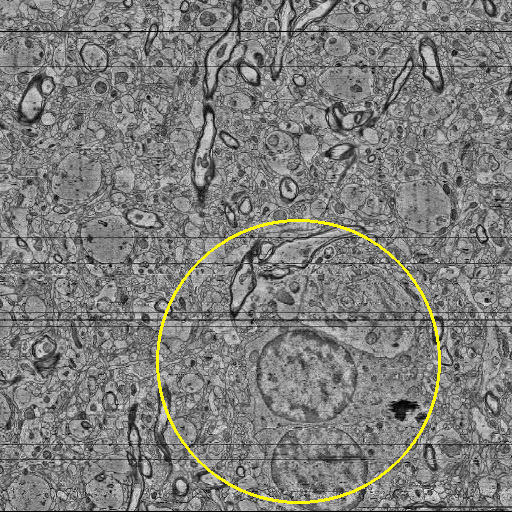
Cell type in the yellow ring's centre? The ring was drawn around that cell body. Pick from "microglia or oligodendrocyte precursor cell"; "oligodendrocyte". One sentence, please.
The ringed cell body is that of an oligodendrocyte.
